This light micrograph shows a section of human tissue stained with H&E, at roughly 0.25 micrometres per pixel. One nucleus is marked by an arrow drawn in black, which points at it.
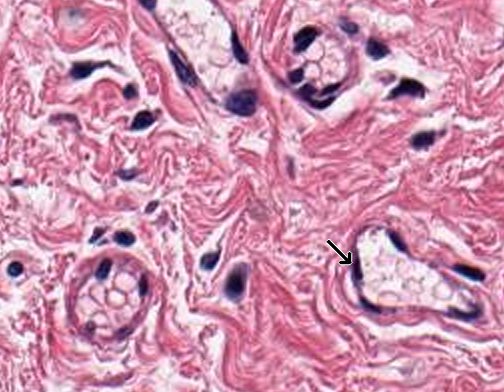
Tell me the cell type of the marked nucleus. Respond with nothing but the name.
endothelial cell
